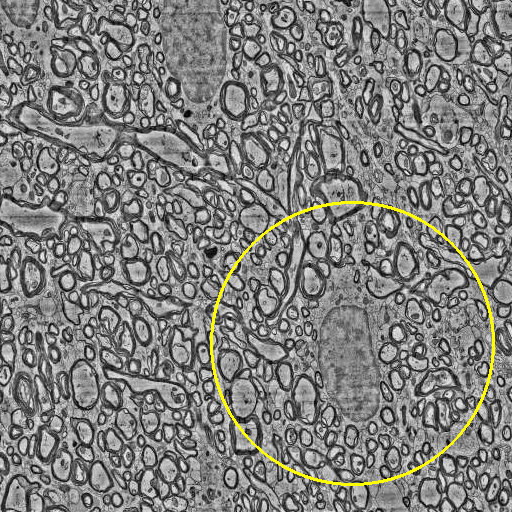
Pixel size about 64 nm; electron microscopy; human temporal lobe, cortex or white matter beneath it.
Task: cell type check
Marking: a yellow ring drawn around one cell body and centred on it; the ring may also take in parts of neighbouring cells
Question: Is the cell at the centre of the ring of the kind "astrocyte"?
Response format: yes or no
no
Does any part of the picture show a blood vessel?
No.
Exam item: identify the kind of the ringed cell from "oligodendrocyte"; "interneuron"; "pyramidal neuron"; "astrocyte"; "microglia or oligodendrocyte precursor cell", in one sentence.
What the ring is centred on is an oligodendrocyte.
